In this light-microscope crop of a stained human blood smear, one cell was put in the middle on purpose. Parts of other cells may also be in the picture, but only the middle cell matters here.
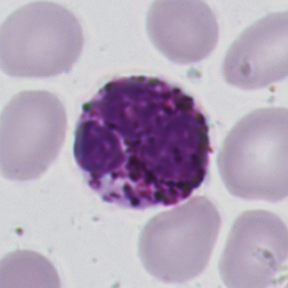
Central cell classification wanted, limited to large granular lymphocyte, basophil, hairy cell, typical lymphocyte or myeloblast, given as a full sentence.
In this smear crop, the middle cell is a basophil.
